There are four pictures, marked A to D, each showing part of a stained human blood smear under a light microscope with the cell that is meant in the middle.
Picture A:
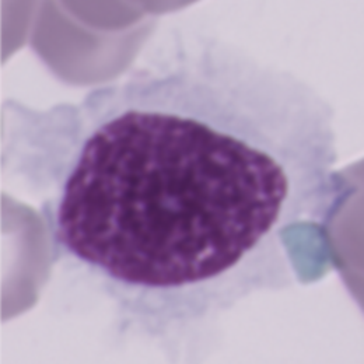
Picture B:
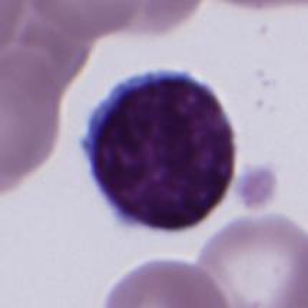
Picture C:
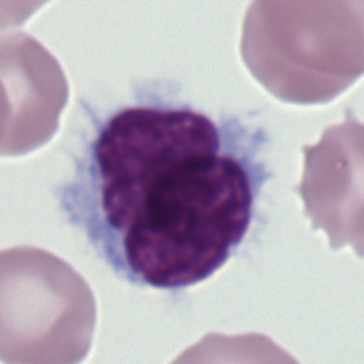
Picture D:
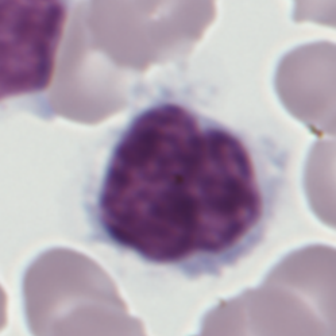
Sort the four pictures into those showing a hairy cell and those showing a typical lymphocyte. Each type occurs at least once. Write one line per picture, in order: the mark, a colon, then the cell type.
A: hairy cell
B: typical lymphocyte
C: hairy cell
D: hairy cell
